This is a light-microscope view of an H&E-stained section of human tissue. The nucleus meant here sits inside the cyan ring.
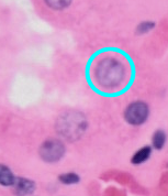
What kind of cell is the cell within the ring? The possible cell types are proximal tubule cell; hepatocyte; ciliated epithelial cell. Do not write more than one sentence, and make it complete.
The correct response here is that the cell within the ring is a proximal tubule cell.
